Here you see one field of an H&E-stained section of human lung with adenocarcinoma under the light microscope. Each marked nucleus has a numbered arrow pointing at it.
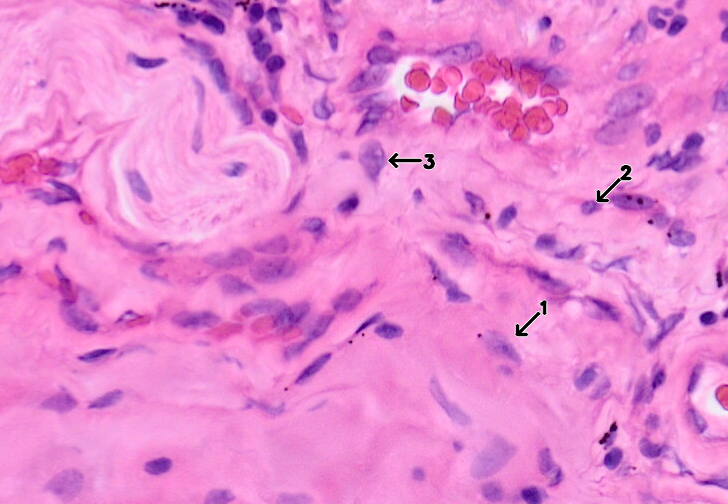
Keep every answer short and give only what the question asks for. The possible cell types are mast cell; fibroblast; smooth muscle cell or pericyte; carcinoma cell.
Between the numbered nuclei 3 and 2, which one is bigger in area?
3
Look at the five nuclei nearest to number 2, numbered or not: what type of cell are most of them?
fibroblast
